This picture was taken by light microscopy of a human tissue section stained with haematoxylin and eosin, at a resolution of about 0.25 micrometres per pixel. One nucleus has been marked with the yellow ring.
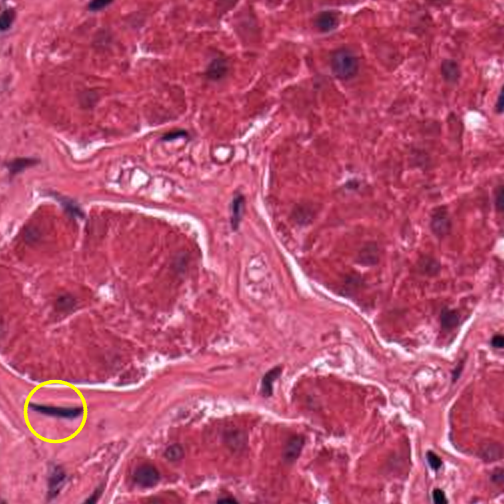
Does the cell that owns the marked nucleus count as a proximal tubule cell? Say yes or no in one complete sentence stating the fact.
No, a supporting cell is the one to which the marked nucleus belongs, not a proximal tubule cell.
